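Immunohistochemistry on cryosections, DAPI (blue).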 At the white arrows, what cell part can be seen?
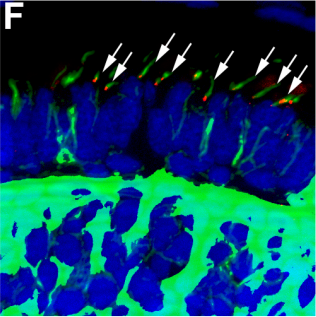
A: Cilia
